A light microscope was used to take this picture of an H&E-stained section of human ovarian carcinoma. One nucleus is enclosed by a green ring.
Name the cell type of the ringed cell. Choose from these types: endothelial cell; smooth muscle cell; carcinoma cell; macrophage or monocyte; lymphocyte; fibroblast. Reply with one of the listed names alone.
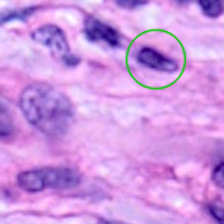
lymphocyte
